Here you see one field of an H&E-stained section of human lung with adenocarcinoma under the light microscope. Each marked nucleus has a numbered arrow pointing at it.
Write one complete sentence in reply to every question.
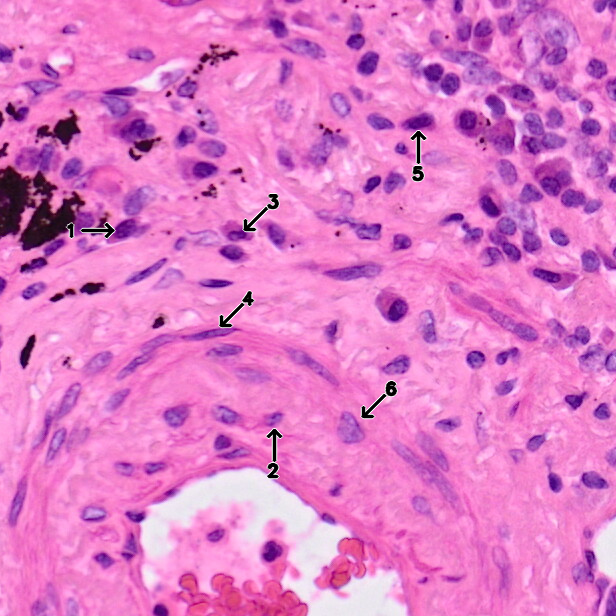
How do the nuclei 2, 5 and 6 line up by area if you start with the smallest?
By area, going up from the smallest, they rank 2, 5, 6.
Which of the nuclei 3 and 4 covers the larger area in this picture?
The larger nucleus is 4, at roughly 2 times the area of 3.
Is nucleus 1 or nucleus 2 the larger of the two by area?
At about 2.5 times the area of nucleus 2, nucleus 1 is the larger of the two.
